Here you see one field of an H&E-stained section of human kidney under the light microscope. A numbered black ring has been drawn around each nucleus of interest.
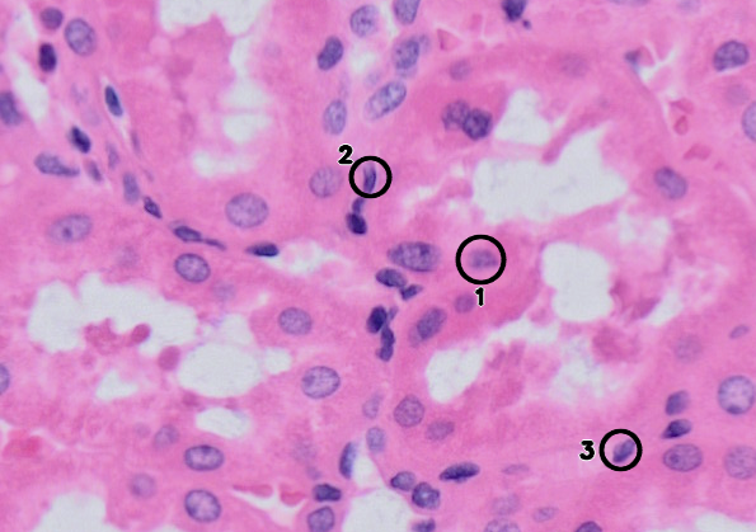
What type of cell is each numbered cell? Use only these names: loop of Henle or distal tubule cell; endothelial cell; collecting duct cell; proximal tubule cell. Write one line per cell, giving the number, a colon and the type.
1: proximal tubule cell
2: endothelial cell
3: endothelial cell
